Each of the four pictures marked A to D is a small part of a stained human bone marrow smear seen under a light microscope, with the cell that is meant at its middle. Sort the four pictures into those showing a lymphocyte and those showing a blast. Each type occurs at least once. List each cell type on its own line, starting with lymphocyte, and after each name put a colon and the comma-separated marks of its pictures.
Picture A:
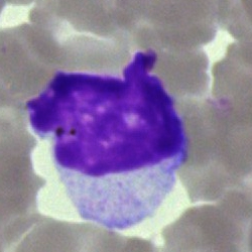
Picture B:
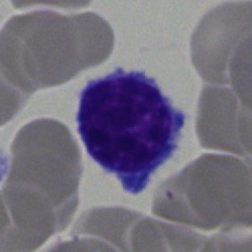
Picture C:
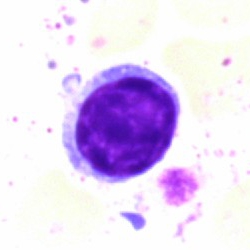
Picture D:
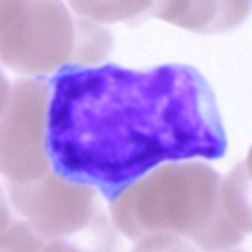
lymphocyte: B, C
blast: A, D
